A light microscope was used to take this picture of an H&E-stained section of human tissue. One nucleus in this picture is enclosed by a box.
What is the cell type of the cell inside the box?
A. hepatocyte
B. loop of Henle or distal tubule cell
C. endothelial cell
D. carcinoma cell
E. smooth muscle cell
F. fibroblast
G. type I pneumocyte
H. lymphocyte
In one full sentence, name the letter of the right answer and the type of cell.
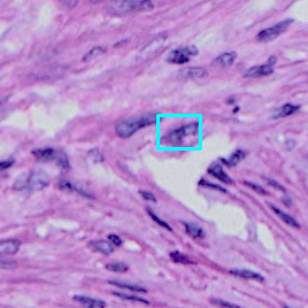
Option F holds, since the cell inside the box is a fibroblast.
